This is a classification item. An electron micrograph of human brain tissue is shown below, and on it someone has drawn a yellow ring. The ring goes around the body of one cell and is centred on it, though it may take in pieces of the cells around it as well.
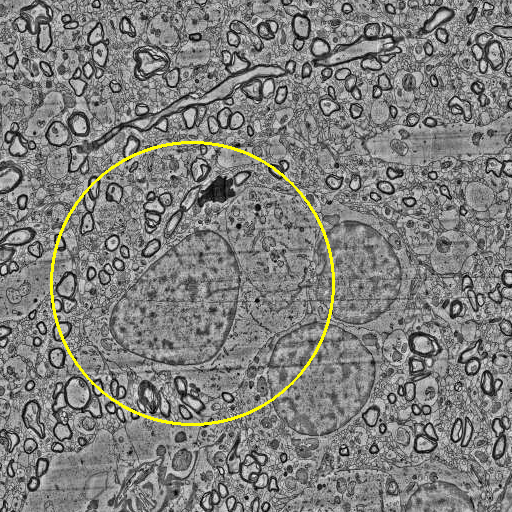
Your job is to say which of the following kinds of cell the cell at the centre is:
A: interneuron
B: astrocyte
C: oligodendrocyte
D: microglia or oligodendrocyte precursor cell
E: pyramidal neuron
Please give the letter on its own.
D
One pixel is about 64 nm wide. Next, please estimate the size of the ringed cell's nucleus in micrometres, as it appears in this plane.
In this plane, approximately 9 by 7 micrometers.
